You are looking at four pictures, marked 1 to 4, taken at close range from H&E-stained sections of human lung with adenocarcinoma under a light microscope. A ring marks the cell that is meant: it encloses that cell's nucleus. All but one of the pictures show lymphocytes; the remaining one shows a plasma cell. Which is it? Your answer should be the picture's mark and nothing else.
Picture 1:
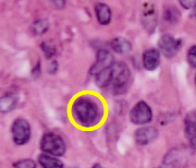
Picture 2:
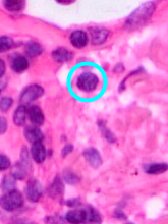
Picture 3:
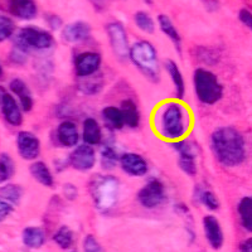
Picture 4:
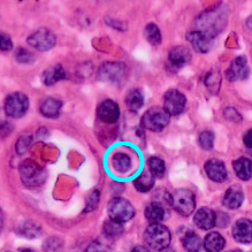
1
